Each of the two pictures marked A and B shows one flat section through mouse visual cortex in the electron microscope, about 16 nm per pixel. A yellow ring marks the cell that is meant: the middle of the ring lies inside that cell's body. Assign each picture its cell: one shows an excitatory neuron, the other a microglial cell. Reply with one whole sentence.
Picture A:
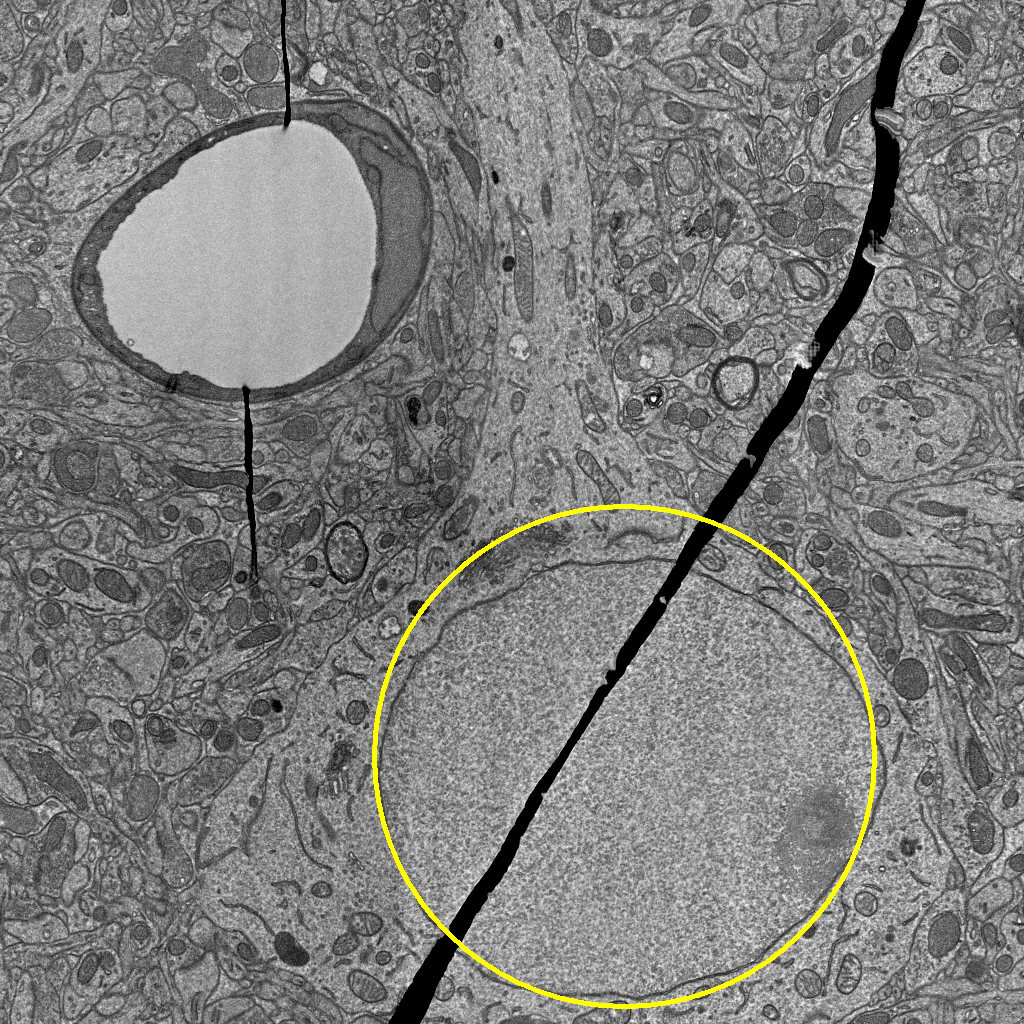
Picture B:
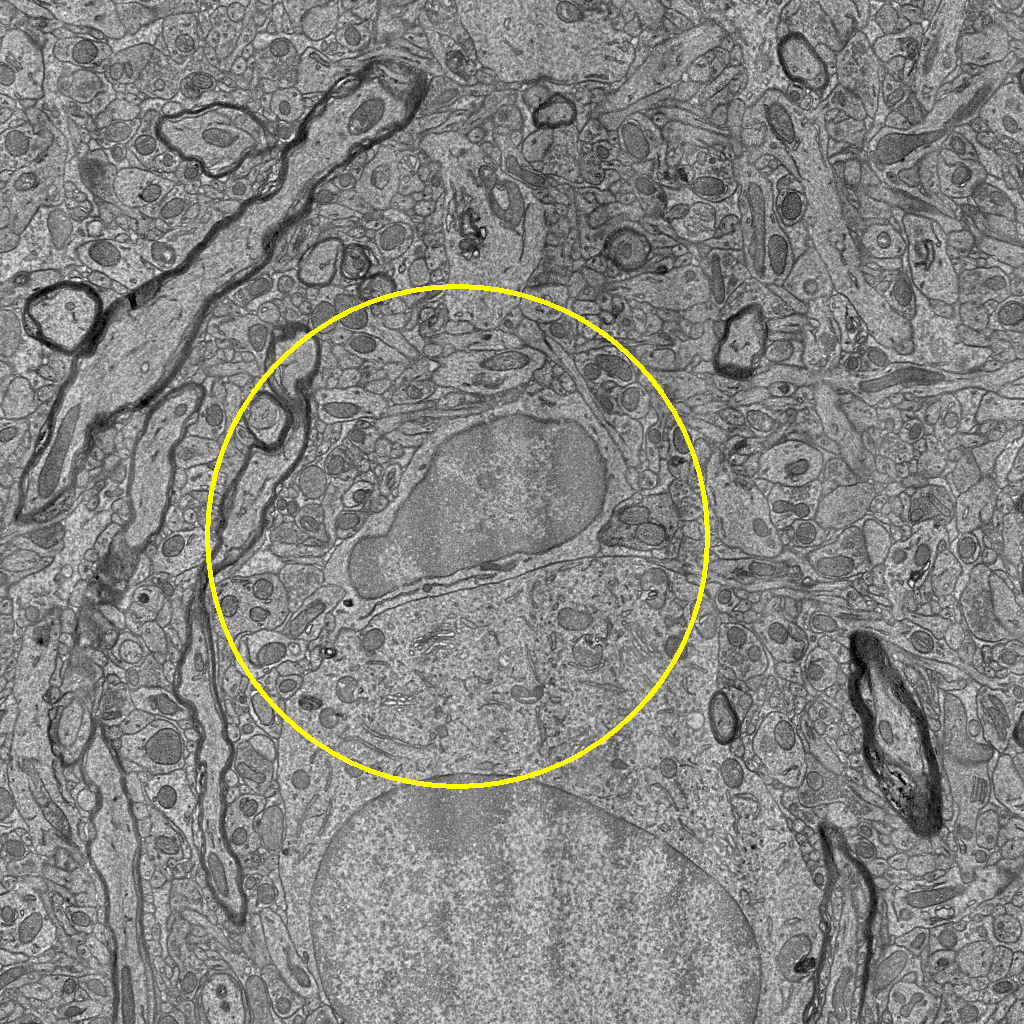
Picture B shows a microglial cell, while picture A shows an excitatory neuron.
